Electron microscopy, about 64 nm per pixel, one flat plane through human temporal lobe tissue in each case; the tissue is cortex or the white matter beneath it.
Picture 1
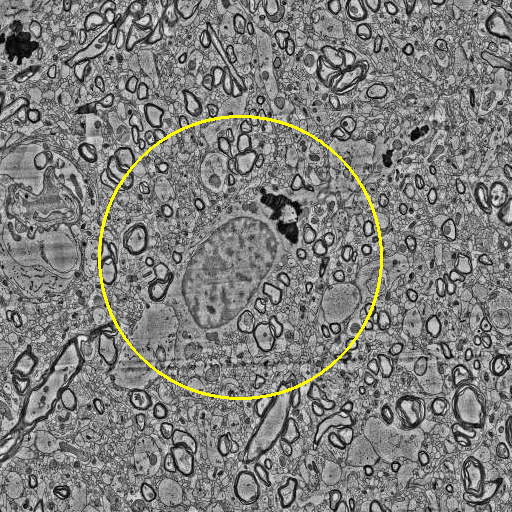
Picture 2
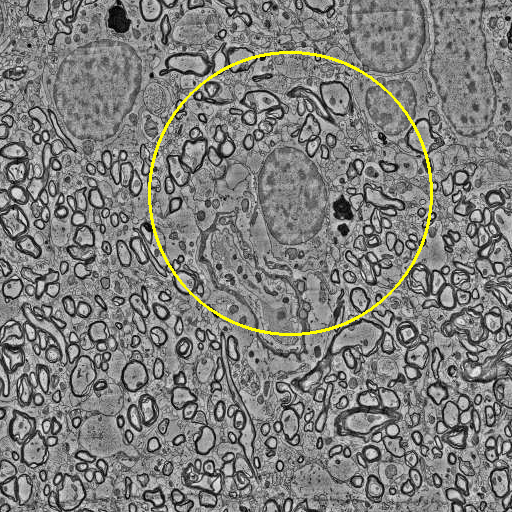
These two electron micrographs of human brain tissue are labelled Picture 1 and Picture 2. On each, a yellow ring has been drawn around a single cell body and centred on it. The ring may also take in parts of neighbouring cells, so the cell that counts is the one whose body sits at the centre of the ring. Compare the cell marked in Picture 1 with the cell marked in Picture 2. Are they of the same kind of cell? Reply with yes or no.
yes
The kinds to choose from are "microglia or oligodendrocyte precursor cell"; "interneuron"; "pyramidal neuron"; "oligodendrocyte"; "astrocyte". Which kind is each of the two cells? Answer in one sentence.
Both pictures show an oligodendrocyte at the centre of the ring.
